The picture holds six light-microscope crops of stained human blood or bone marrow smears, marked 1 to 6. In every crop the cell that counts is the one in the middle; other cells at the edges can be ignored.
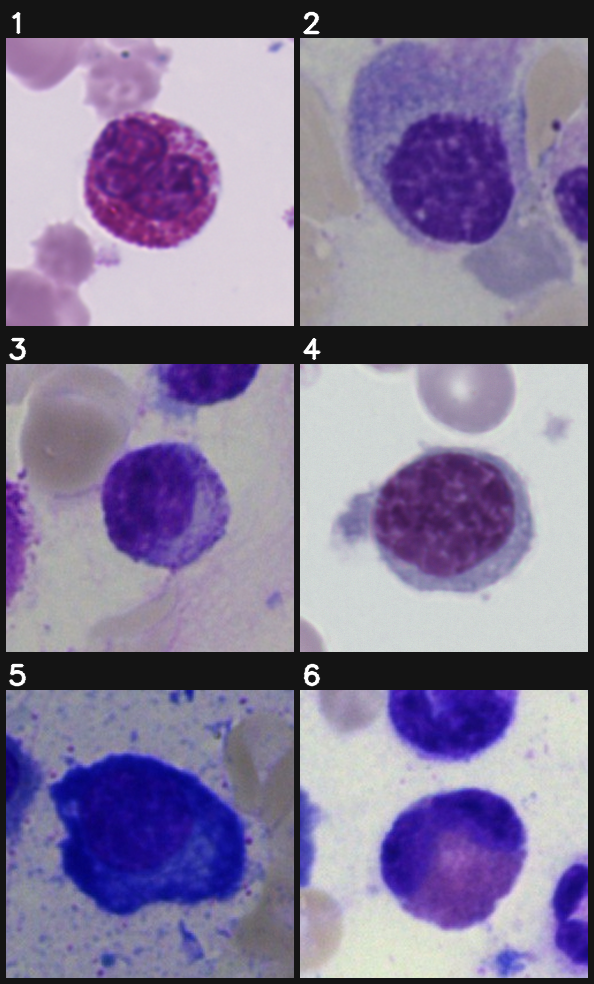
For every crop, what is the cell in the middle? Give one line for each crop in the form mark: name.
1: eosinophil
2: plasma cell
3: myelocyte
4: plasma cell
5: plasma cell
6: eosinophil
